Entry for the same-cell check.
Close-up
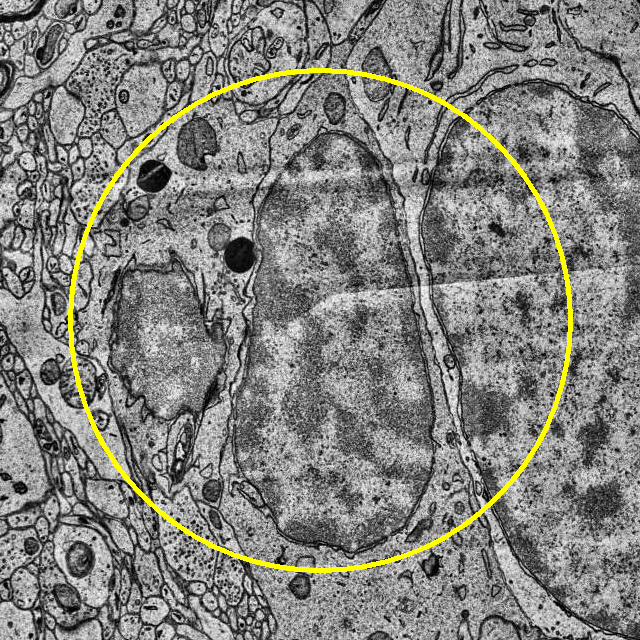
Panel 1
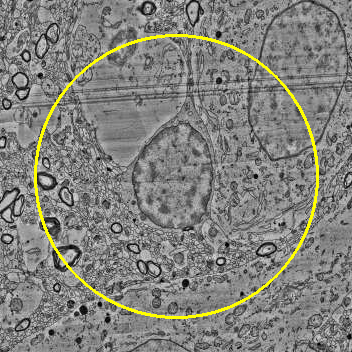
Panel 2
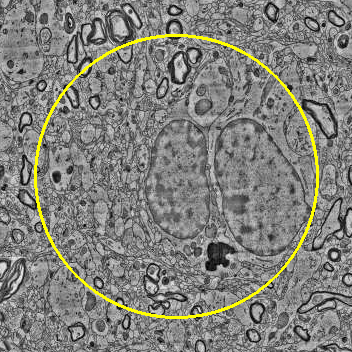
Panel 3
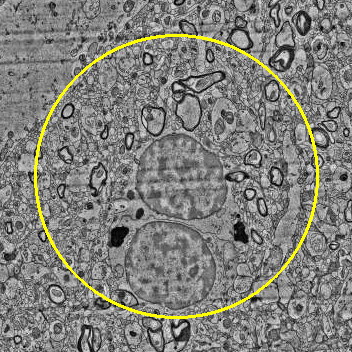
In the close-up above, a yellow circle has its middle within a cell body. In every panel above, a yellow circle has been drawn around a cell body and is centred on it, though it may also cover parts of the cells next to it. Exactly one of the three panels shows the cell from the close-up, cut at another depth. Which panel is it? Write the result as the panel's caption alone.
Panel 2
